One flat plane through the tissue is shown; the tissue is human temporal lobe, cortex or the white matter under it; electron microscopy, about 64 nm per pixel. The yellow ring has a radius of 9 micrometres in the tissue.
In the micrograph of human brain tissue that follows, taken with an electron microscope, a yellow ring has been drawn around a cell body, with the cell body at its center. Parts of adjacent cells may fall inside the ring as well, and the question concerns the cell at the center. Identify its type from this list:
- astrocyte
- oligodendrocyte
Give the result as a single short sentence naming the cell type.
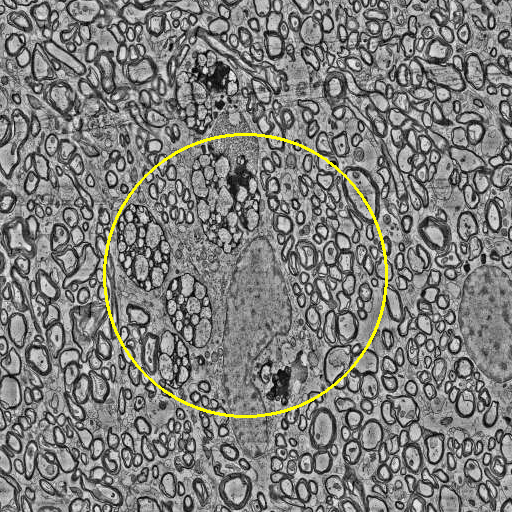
The ring is centered on an astrocyte.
